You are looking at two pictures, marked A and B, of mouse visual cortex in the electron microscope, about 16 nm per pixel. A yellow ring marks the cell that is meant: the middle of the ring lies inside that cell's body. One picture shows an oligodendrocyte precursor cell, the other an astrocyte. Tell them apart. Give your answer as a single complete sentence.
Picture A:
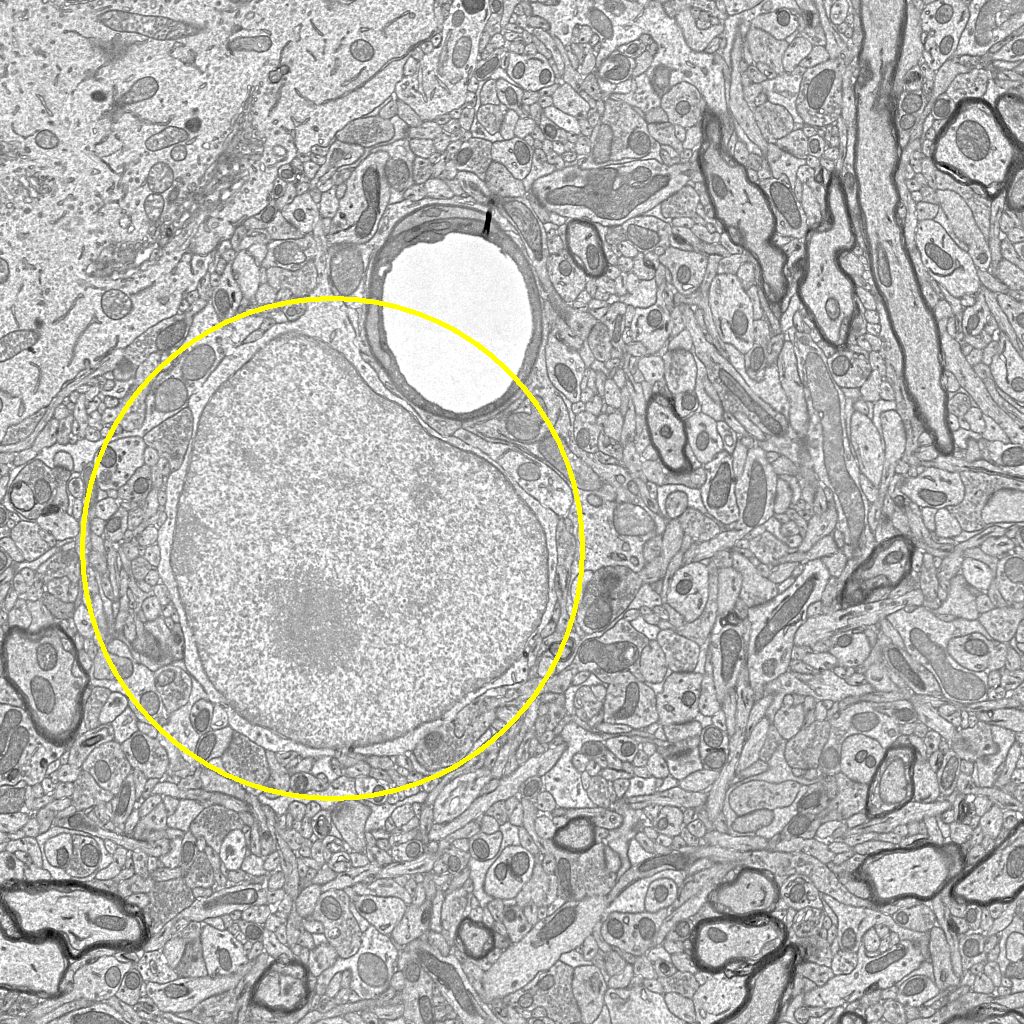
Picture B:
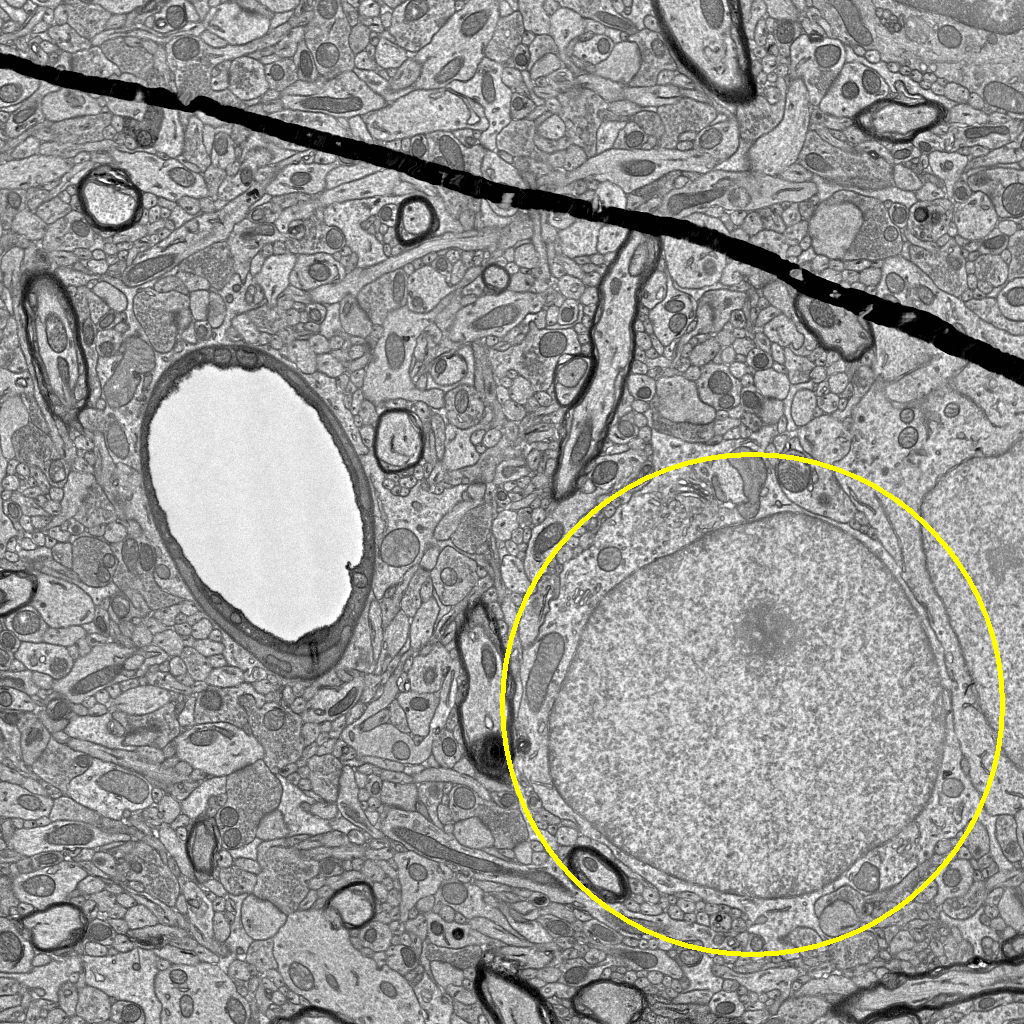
Picture A shows an oligodendrocyte precursor cell and picture B shows an astrocyte.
